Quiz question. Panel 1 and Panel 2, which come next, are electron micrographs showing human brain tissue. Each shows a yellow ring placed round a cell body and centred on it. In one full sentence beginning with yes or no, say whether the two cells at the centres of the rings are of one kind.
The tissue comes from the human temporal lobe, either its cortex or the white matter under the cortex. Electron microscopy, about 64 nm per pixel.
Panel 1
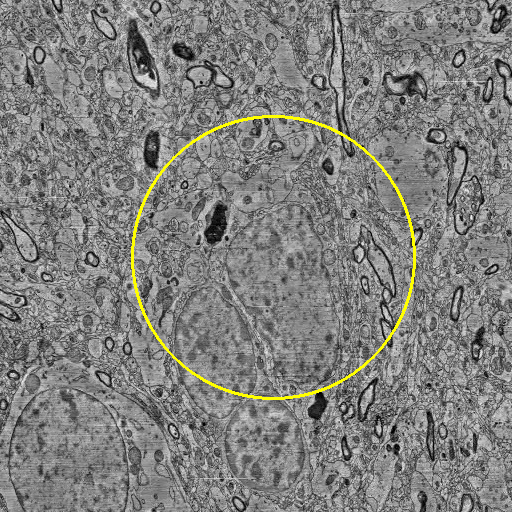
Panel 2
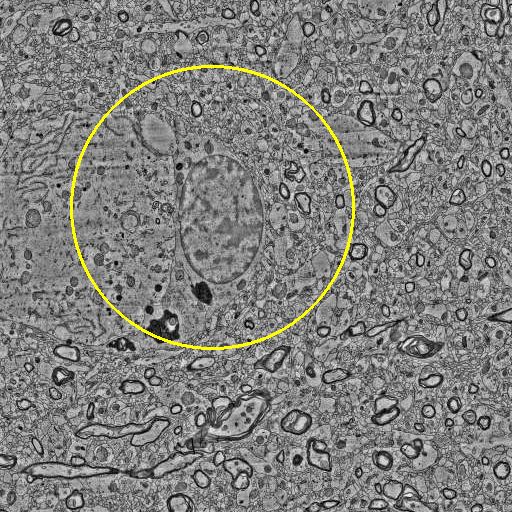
No, Panel 1 and Panel 2 show two kinds of cell at the centre of the ring.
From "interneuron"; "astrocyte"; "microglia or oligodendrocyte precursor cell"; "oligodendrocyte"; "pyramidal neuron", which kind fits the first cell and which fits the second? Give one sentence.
The cell marked in the first picture is an interneuron, and the one marked in the second is an oligodendrocyte.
